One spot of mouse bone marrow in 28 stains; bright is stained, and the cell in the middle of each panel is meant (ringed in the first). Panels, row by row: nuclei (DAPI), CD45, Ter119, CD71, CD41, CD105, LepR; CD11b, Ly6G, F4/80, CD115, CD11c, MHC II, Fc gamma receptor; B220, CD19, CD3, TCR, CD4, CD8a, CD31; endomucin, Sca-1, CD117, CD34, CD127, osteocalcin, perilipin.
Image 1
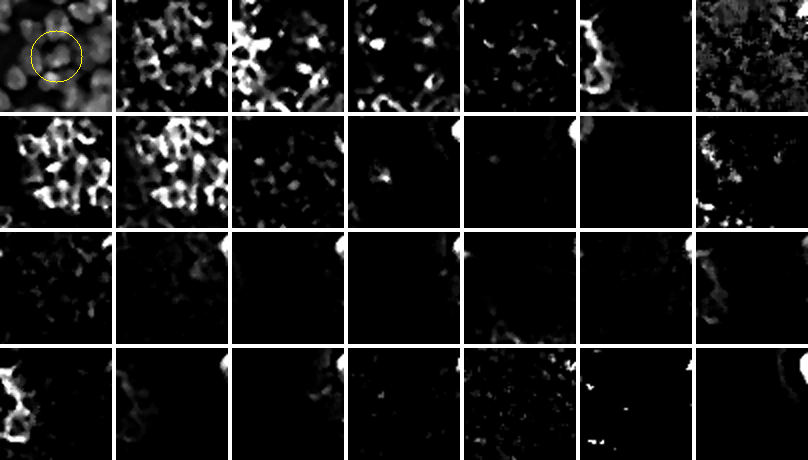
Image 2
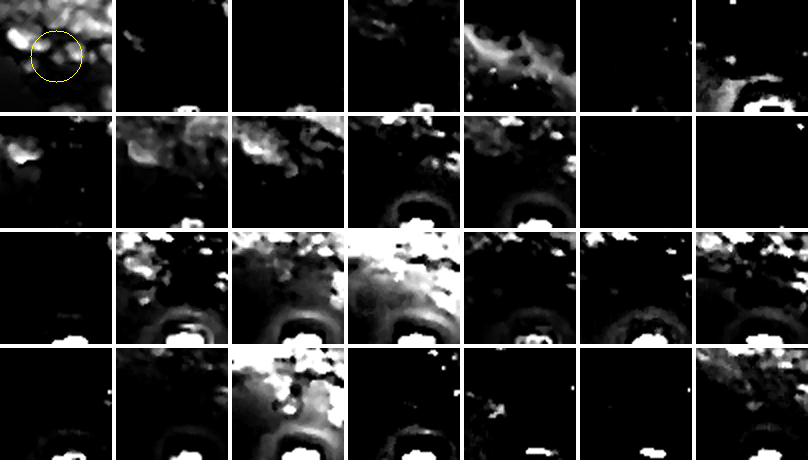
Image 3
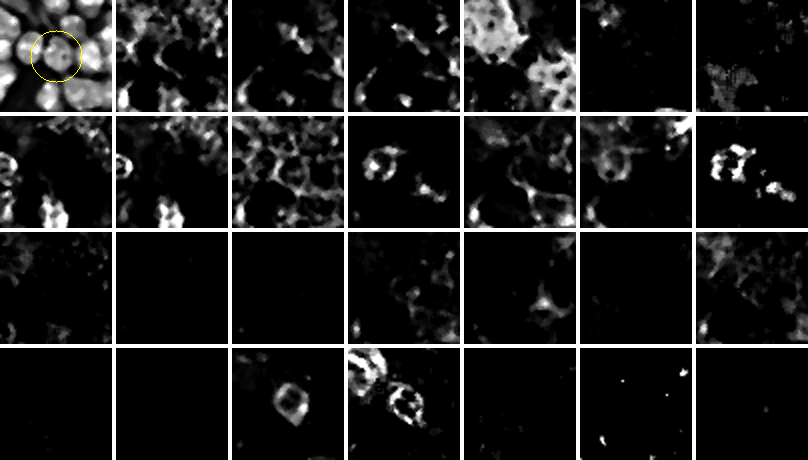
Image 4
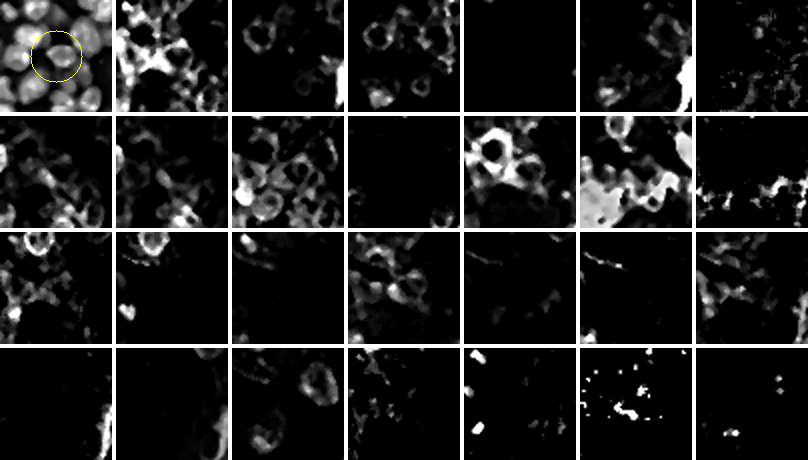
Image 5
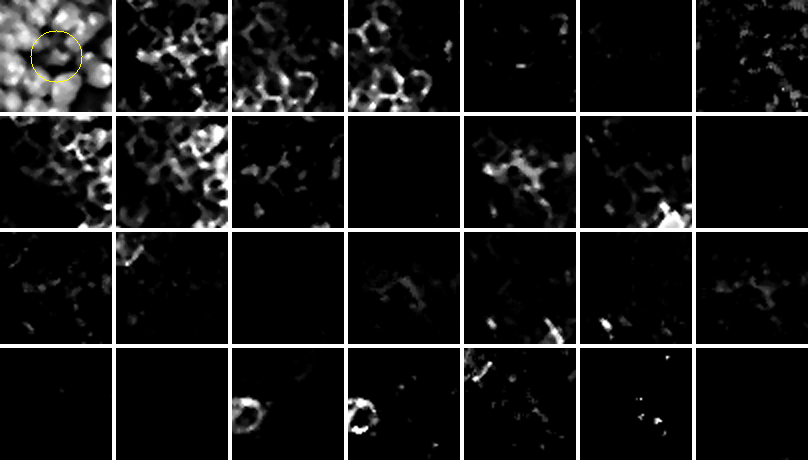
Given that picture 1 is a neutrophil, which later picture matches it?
5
